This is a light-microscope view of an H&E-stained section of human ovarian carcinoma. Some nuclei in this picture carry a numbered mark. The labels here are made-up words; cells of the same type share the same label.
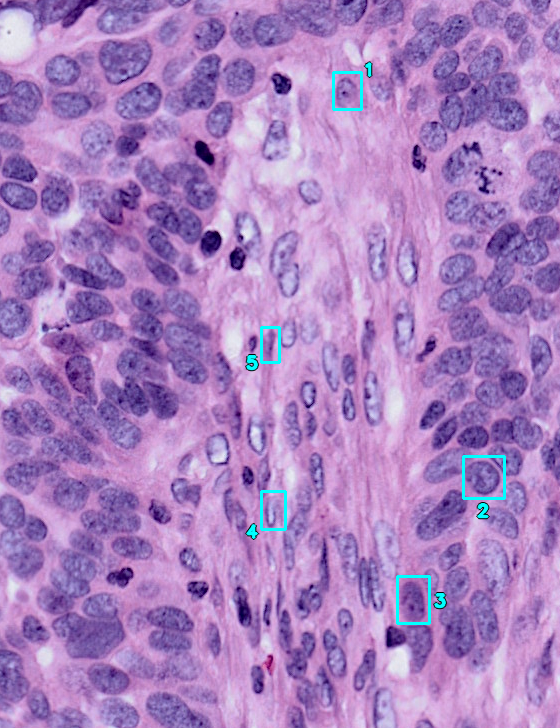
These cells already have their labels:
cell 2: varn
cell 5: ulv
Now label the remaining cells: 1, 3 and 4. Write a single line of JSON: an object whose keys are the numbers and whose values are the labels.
{"1": "ulv", "3": "varn", "4": "ulv"}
